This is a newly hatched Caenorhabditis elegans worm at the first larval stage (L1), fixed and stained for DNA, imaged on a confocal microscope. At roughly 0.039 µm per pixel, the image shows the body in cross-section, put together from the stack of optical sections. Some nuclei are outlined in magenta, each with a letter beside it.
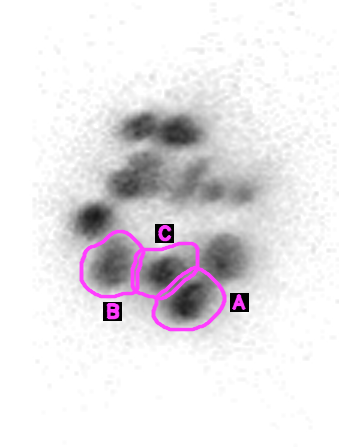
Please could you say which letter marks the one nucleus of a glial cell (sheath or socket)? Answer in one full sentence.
The one from a glial cell (sheath or socket) is A.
